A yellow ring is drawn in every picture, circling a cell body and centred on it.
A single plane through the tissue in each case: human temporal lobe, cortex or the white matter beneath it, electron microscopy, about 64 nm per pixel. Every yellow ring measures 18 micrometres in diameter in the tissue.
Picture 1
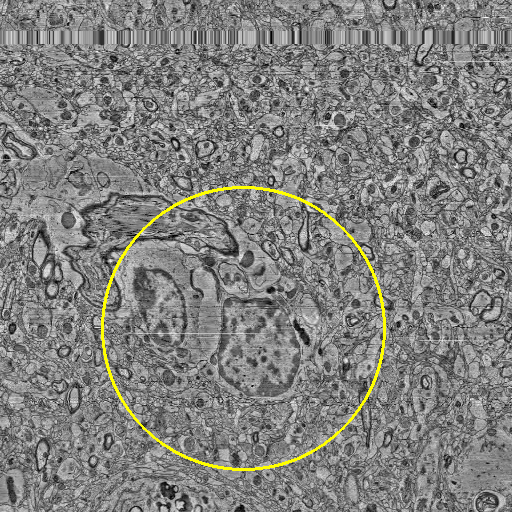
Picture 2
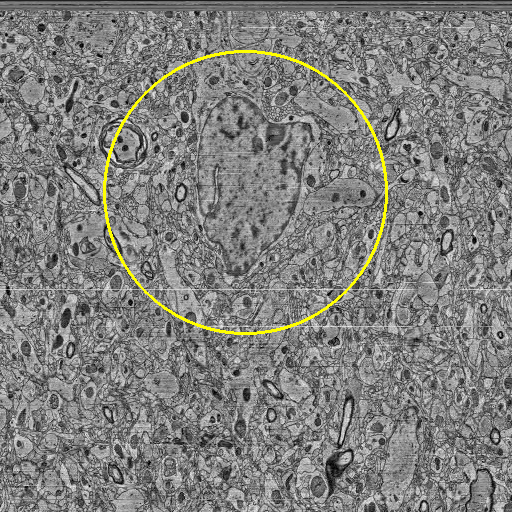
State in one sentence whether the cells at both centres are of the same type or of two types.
The cells at the two ring centres, one per picture, are of the same type.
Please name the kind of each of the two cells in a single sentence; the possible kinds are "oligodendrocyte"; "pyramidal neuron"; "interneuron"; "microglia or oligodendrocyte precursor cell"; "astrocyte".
The ring centre holds a microglial cell or oligodendrocyte precursor cell in each of the two pictures.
